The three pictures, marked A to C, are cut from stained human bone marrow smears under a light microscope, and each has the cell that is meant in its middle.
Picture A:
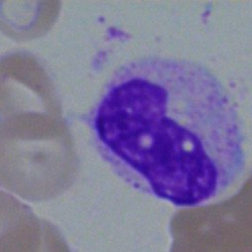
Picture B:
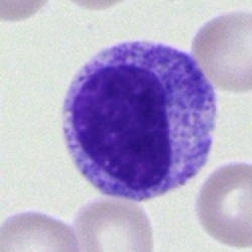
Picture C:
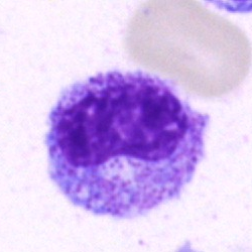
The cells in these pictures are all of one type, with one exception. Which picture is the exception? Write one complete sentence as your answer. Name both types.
The others show metamyelocytes, but picture B shows a myelocyte.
